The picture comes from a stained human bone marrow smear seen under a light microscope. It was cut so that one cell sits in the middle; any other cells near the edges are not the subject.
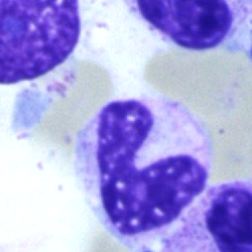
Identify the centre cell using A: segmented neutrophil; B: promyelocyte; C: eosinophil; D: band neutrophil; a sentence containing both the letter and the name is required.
The centrally located cell is a band neutrophil, making option D the correct choice.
